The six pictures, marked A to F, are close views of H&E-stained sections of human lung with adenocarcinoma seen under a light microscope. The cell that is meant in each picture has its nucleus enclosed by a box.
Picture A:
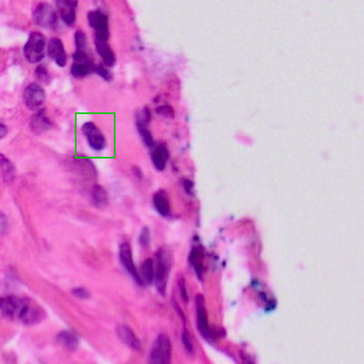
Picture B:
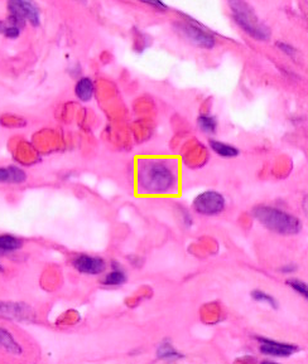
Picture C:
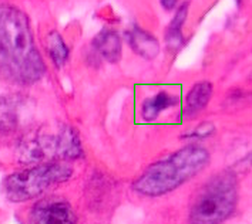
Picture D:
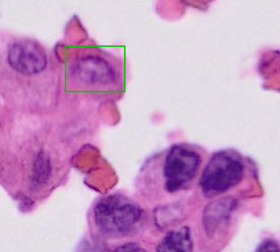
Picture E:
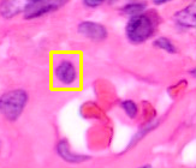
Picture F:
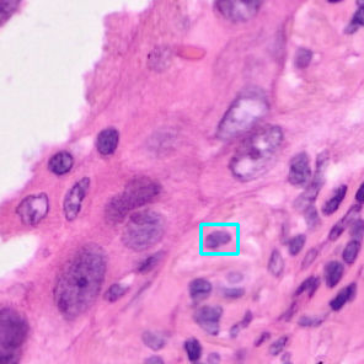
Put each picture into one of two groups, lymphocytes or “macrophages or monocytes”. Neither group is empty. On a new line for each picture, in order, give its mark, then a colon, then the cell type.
A: lymphocyte
B: macrophage or monocyte
C: lymphocyte
D: macrophage or monocyte
E: lymphocyte
F: lymphocyte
